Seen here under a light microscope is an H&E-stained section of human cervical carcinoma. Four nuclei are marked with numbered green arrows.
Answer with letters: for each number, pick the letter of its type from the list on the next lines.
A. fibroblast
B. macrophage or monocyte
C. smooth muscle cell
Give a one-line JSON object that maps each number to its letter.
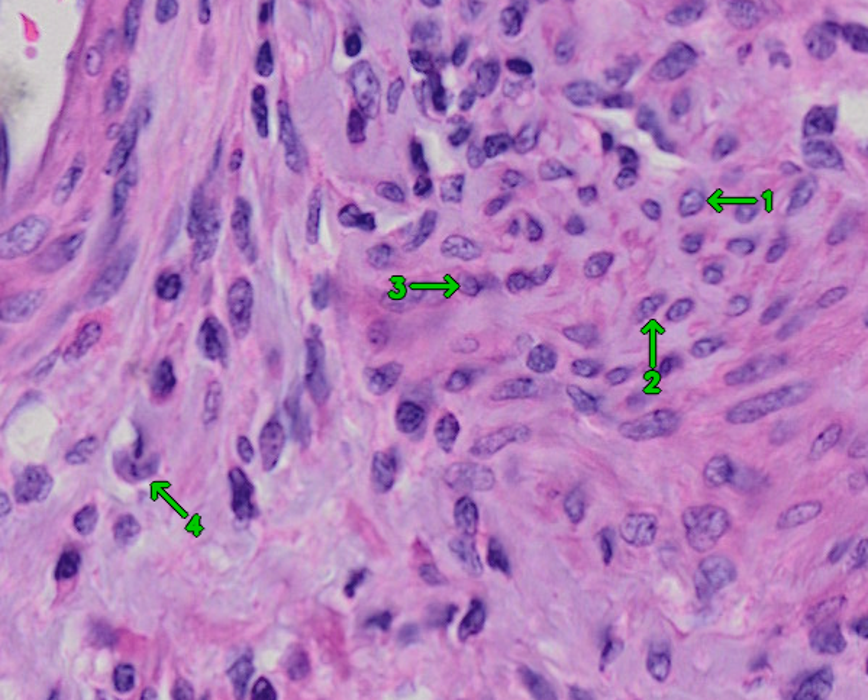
{"1": "C", "2": "C", "3": "C", "4": "B"}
